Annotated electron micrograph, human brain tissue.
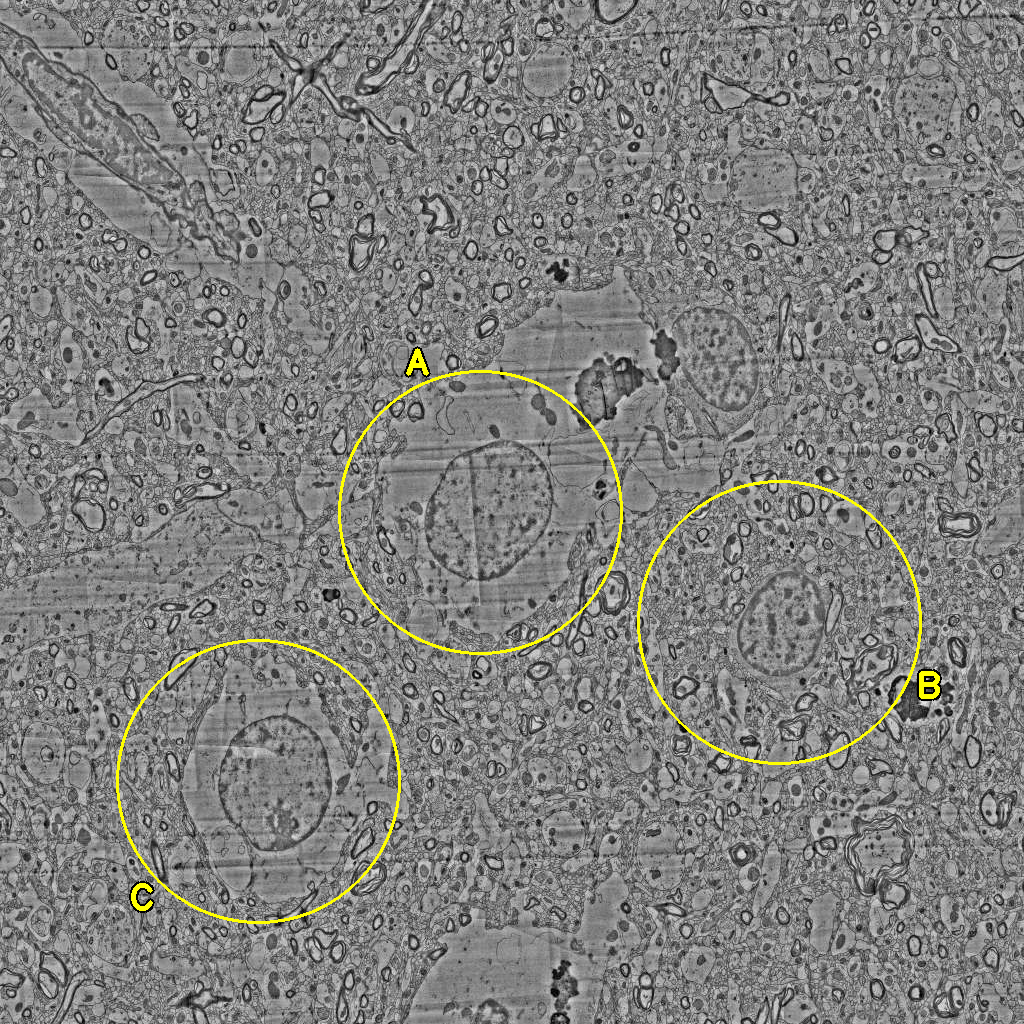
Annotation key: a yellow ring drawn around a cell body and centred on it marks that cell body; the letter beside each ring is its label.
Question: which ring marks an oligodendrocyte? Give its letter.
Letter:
B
